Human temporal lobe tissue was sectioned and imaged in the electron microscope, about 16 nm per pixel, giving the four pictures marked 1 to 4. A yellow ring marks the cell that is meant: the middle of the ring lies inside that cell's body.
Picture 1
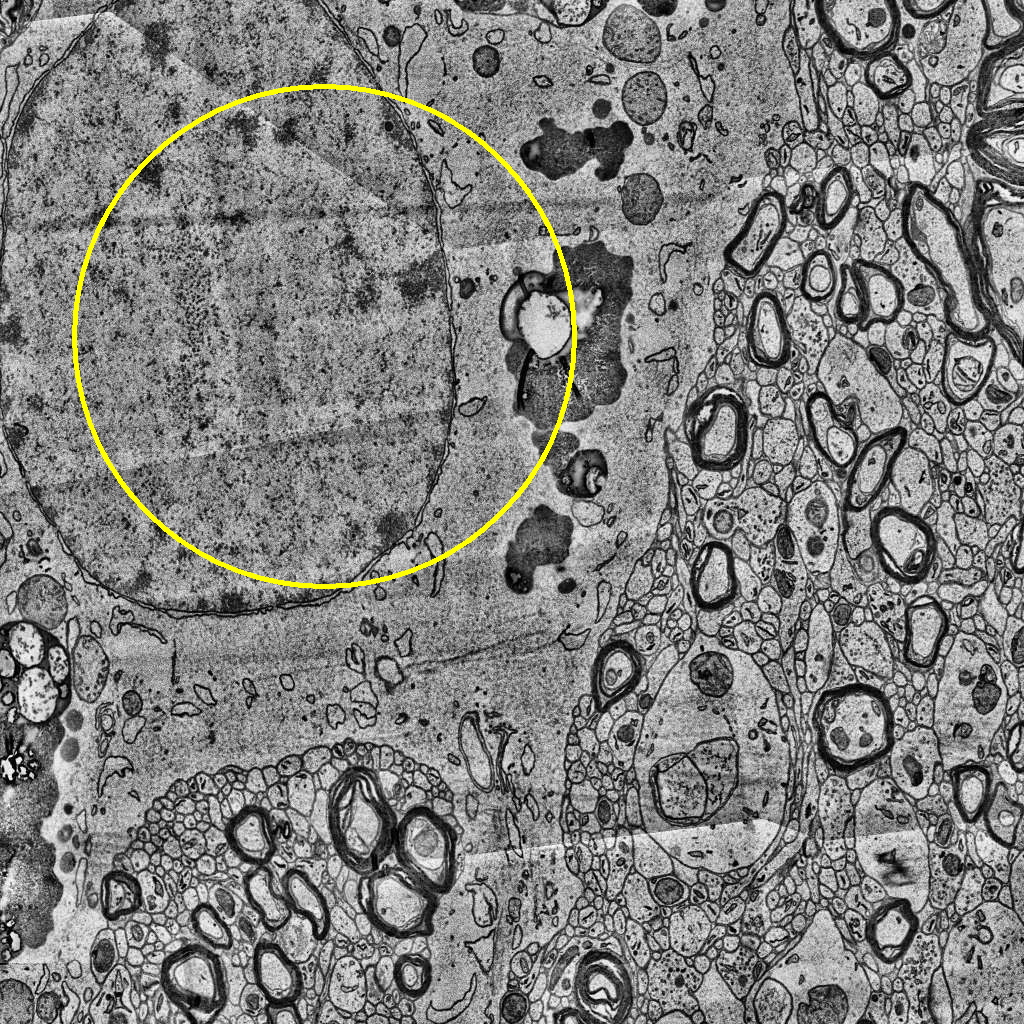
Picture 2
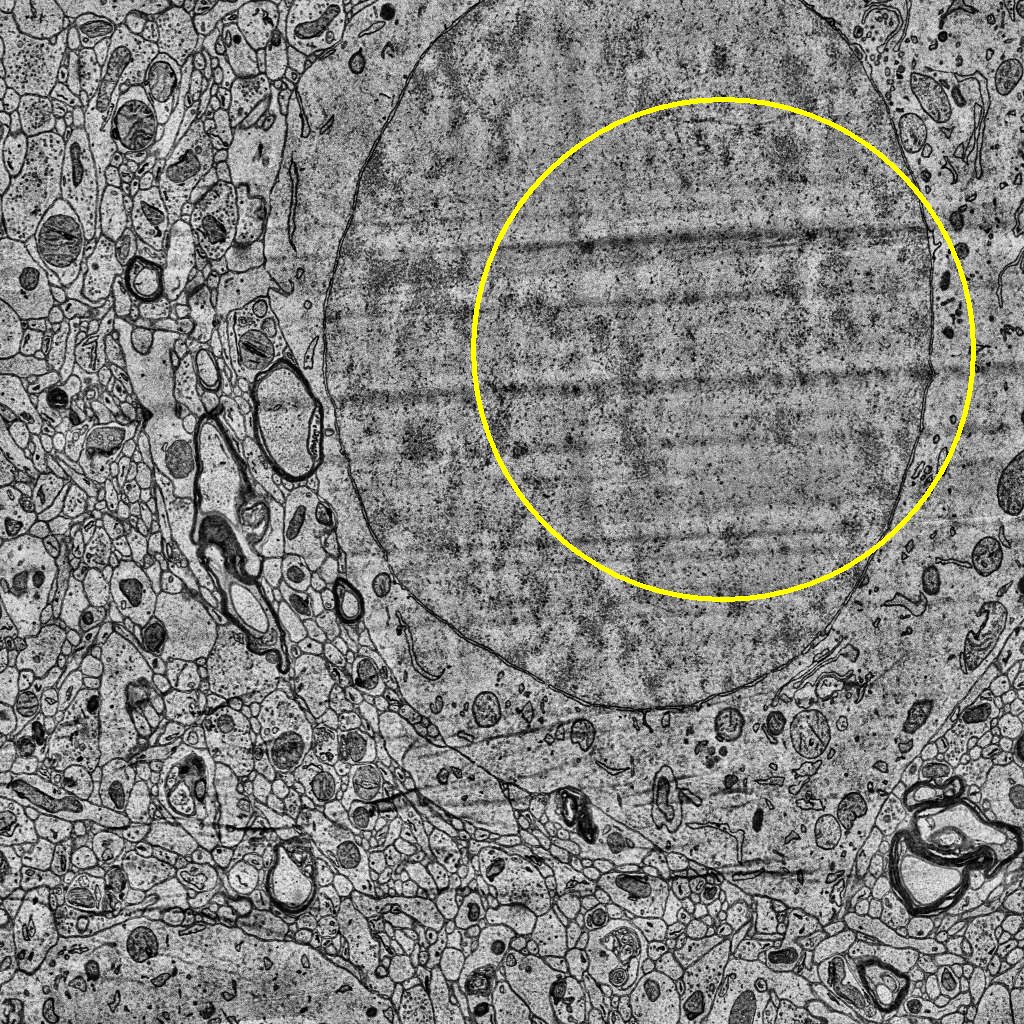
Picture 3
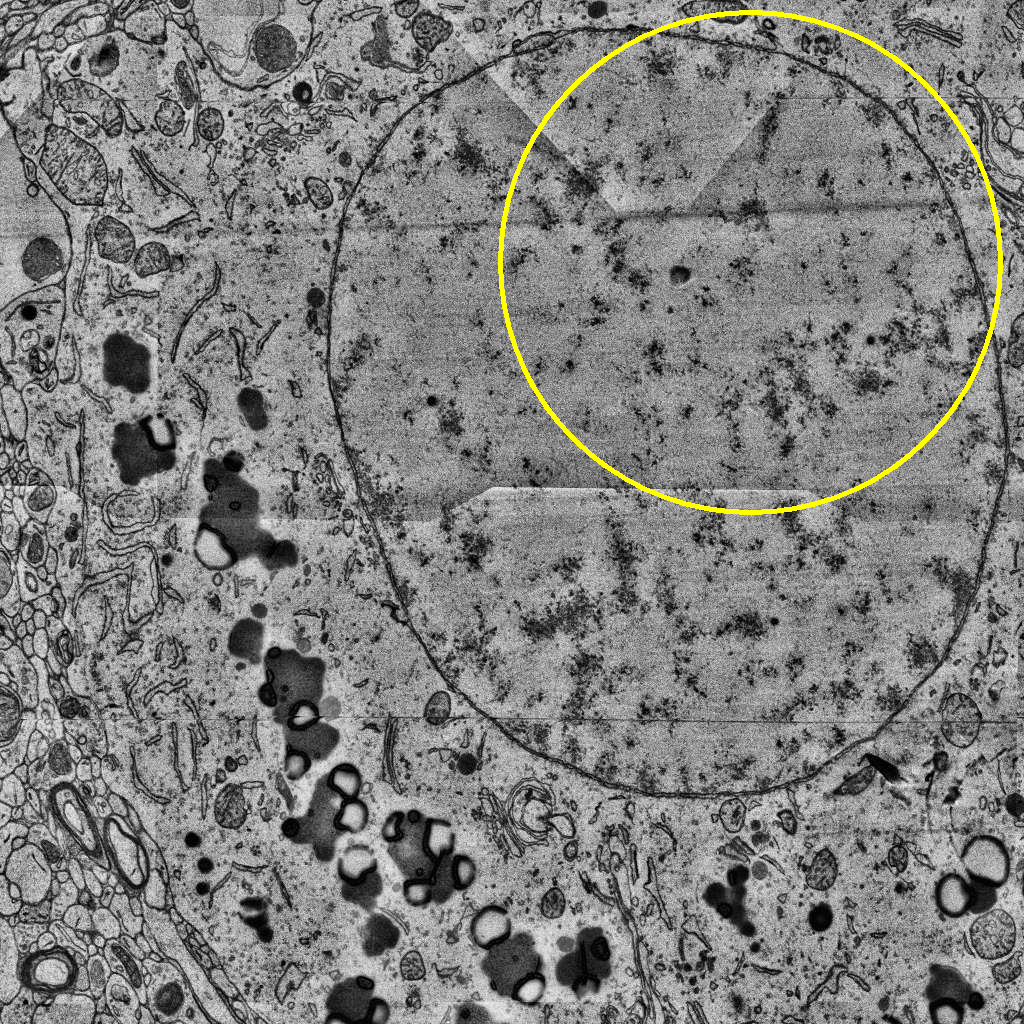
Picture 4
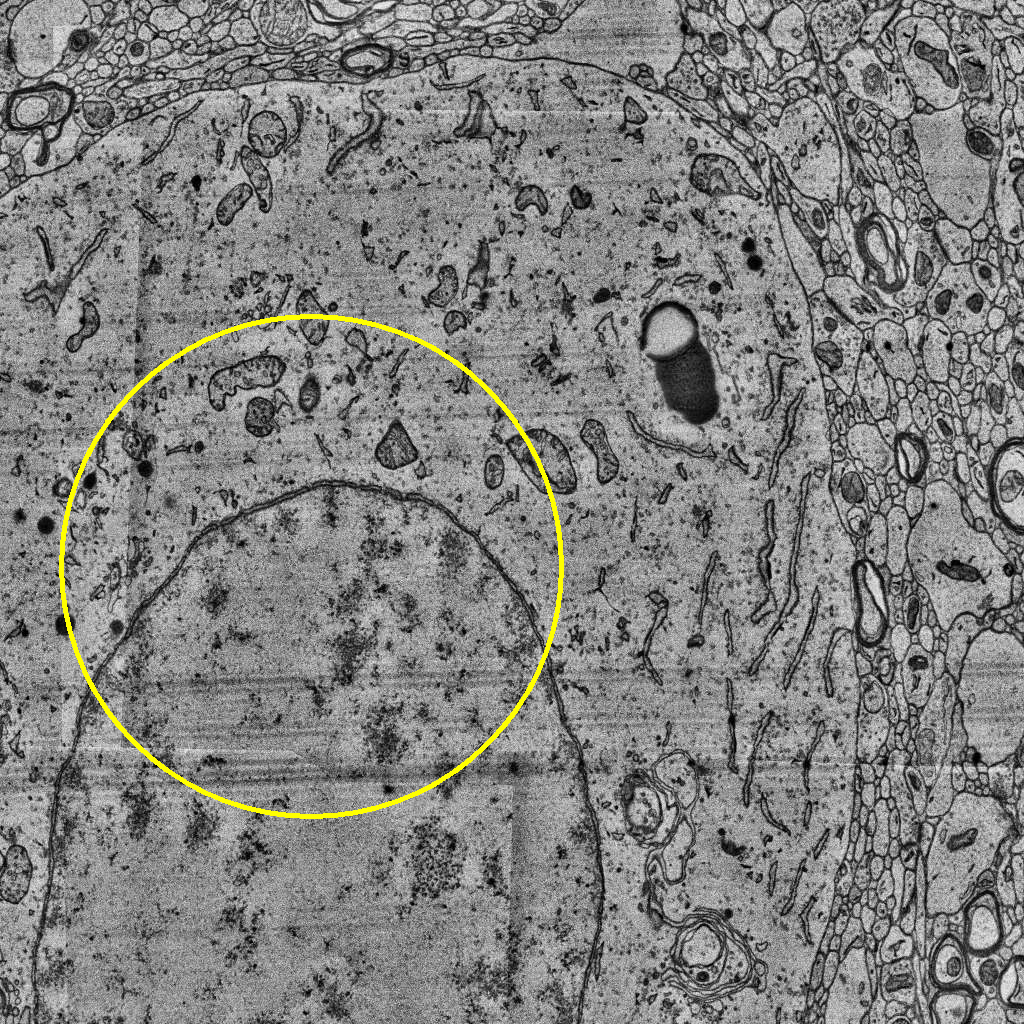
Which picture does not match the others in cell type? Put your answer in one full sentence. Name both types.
Picture 1 differs, because its cell is an astrocyte and the rest are pyramidal neurons.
